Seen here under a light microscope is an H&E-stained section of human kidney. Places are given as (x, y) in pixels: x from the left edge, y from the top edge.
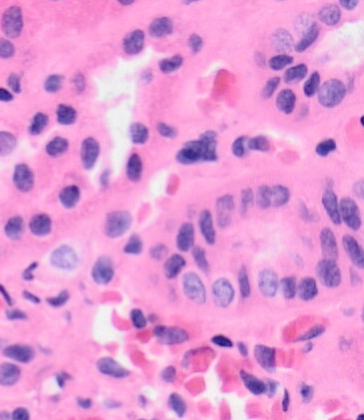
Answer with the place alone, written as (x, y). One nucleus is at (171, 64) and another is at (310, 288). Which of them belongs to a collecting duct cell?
(310, 288)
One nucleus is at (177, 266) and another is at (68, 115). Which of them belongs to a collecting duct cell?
(177, 266)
